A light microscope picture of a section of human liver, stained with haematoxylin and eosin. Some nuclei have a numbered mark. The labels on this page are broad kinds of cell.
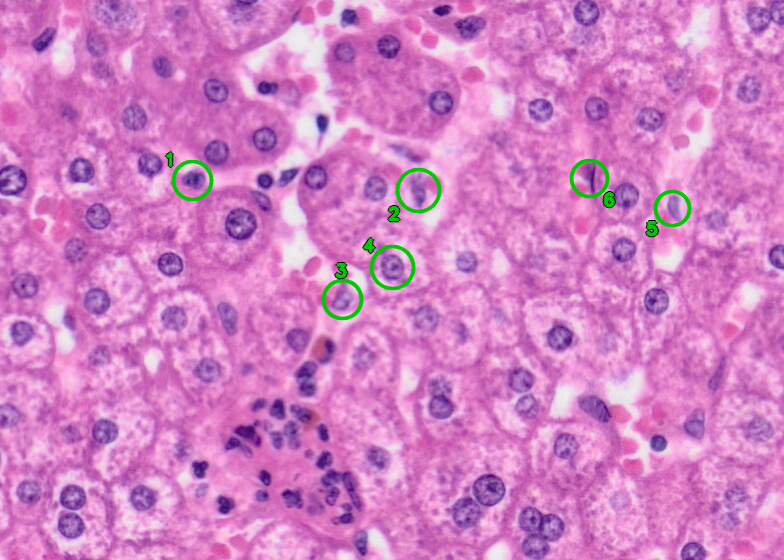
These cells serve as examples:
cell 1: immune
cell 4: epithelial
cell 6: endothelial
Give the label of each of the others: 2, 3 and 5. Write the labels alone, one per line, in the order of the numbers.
immune
immune
endothelial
